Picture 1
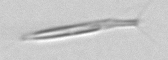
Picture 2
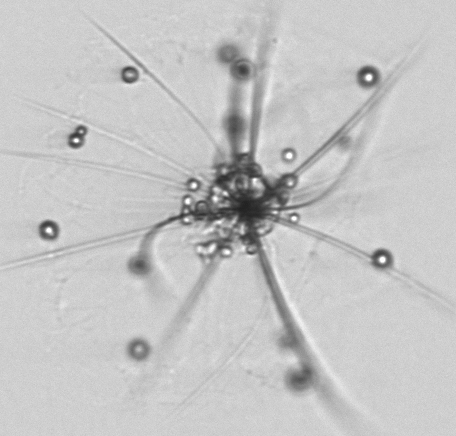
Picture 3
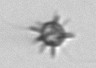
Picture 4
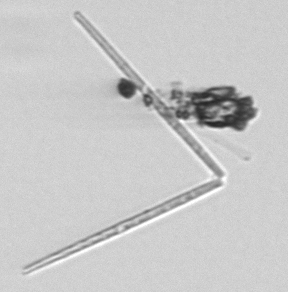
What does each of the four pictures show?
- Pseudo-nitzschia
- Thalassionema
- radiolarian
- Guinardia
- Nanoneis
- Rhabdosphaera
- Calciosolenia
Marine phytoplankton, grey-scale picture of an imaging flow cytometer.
(1) Calciosolenia
(2) radiolarian
(3) Rhabdosphaera
(4) Thalassionema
